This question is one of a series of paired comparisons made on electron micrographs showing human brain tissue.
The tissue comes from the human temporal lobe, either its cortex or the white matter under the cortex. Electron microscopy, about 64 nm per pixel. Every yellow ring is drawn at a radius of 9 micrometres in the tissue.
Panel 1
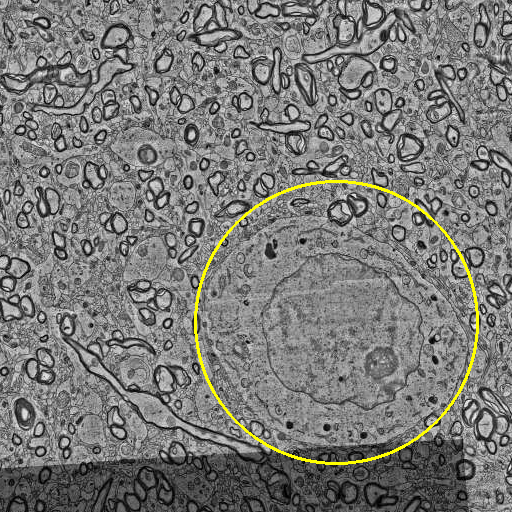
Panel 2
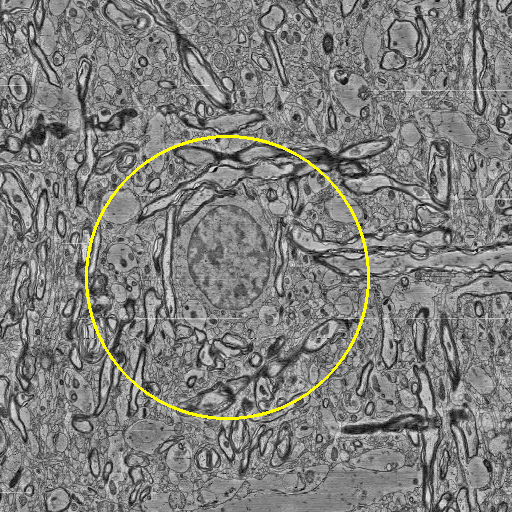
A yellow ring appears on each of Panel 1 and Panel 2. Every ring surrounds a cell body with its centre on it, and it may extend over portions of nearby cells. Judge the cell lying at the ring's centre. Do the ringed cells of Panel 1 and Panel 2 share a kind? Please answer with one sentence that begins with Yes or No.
No, the ring-centre cell in Panel 1 and the one in Panel 2 are of two kinds.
